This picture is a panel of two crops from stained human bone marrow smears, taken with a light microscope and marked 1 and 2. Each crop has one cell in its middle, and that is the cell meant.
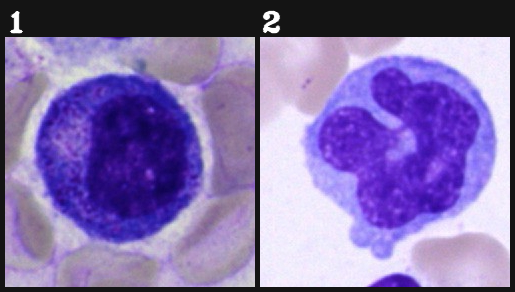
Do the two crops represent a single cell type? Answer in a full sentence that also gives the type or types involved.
No, a promyelocyte is centred in crop 1, and a monocyte is centred in crop 2.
